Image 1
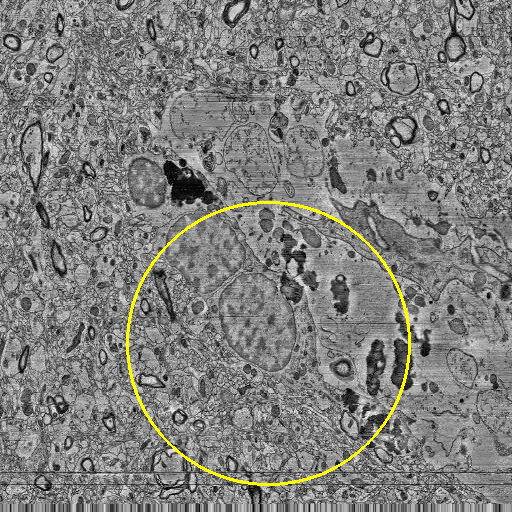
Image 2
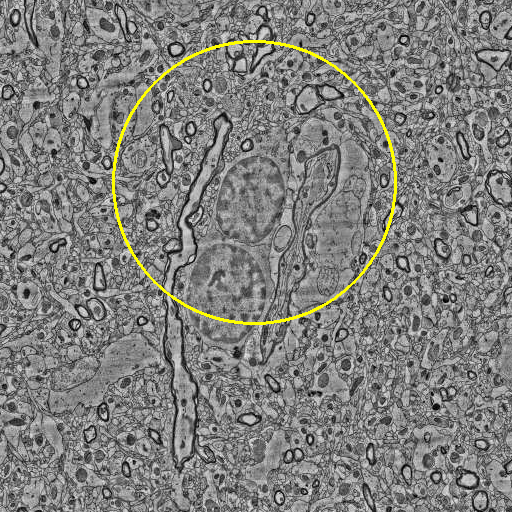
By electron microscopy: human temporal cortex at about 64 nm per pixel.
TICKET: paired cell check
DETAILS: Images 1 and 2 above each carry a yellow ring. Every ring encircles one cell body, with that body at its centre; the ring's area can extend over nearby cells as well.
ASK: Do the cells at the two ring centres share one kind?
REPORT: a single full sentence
Yes, the ring-centre cells of Images 1 and 2 belong to a single kind.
